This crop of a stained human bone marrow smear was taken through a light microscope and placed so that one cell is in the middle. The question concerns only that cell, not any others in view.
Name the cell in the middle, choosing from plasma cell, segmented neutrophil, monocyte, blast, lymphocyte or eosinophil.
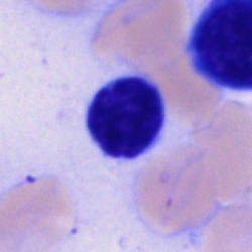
lymphocyte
